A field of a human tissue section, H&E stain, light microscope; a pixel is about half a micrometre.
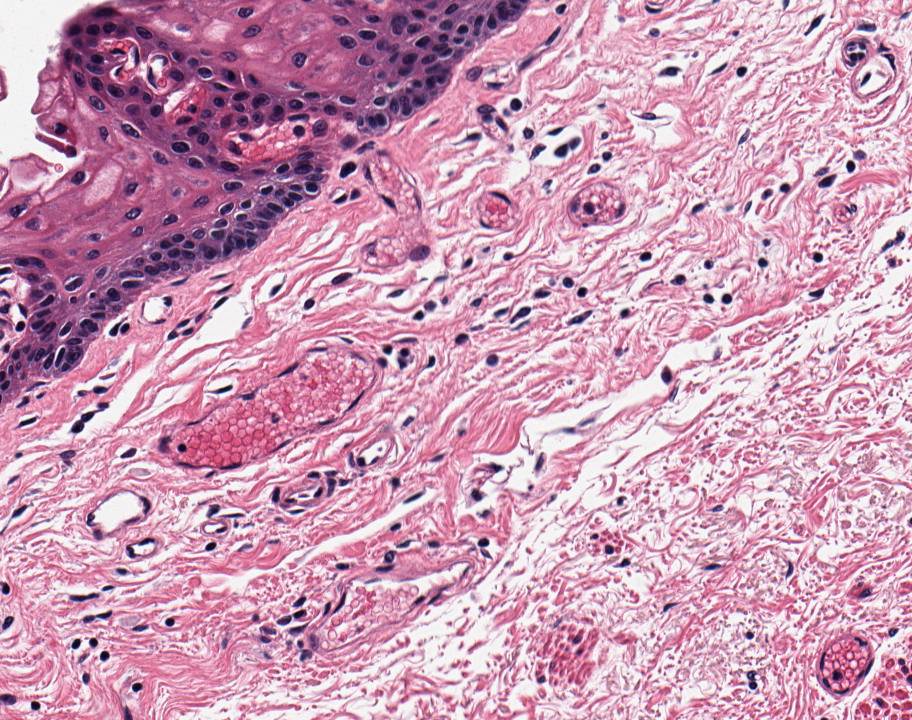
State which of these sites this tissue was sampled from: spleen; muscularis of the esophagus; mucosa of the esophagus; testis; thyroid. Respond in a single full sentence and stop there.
This is a tissue section sampled from the mucosa of the esophagus.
